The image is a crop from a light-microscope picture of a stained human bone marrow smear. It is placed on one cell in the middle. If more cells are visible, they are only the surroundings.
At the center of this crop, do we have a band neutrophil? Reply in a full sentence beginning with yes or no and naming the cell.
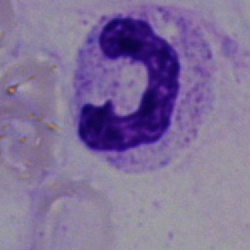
No, the centre of the crop contains a segmented neutrophil rather than a band neutrophil.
